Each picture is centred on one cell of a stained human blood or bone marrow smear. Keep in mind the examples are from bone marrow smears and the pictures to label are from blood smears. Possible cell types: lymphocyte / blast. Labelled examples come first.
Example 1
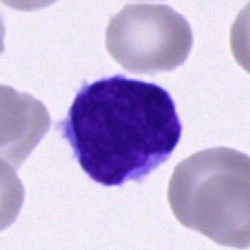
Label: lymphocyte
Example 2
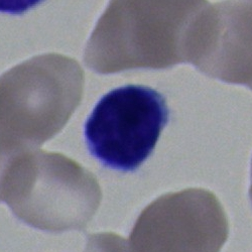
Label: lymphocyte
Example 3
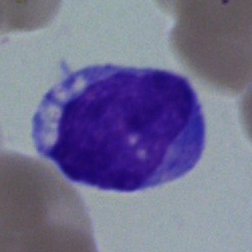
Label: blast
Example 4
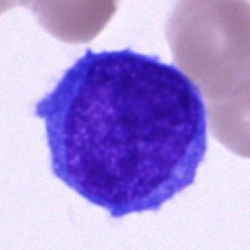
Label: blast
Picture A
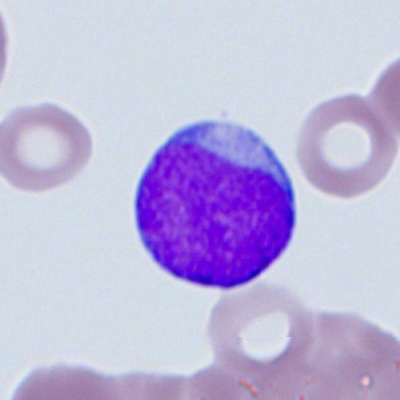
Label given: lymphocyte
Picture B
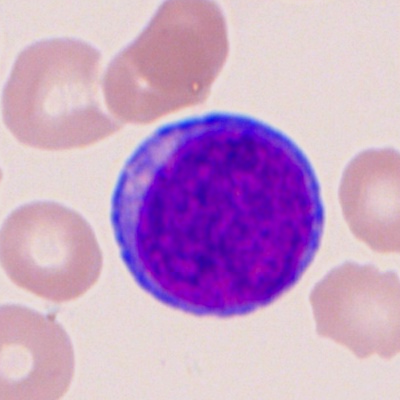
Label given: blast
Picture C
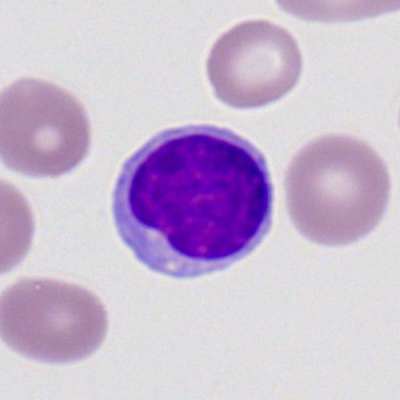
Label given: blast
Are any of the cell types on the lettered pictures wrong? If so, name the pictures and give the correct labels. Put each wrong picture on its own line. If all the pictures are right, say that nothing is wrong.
A should be blast, not lymphocyte
C should be lymphocyte, not blast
